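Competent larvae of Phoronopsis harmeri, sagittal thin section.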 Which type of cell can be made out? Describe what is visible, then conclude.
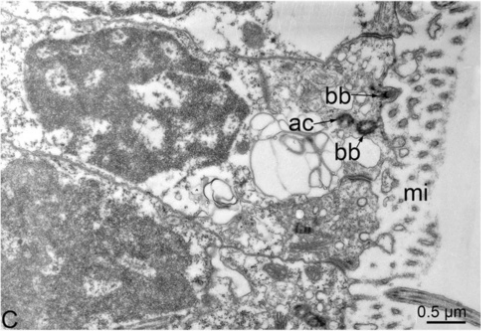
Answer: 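Two dense basal bodies sit close together below the apical surface. Microvilli cover the apical surface. The answer: Biciliated cells.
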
